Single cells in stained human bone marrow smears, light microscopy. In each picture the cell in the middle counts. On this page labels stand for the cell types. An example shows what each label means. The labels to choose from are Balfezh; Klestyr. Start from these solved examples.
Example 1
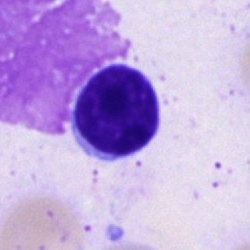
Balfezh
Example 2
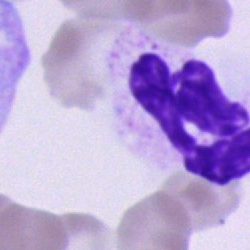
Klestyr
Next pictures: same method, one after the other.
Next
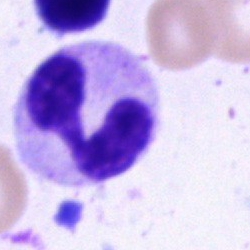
Klestyr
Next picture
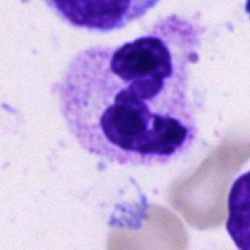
Klestyr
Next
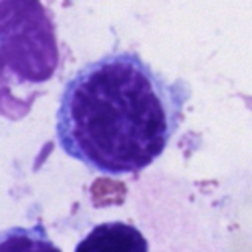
Balfezh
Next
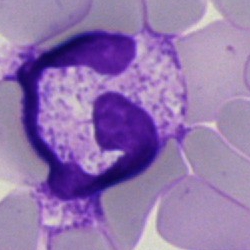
Klestyr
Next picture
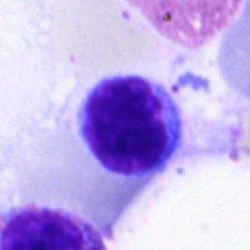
Balfezh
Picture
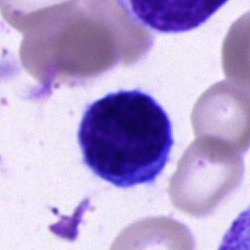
Balfezh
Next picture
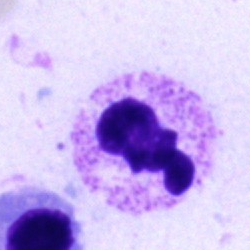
Klestyr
